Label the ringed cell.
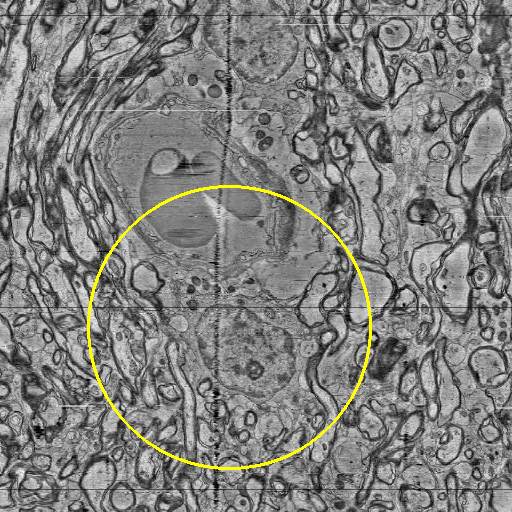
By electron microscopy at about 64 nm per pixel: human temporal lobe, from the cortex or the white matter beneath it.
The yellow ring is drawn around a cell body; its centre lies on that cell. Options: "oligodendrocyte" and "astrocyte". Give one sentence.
The ringed cell is an oligodendrocyte.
